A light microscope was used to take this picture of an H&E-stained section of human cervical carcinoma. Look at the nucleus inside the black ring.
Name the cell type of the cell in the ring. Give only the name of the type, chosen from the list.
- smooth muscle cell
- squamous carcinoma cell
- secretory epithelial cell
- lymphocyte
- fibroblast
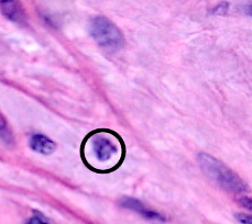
lymphocyte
